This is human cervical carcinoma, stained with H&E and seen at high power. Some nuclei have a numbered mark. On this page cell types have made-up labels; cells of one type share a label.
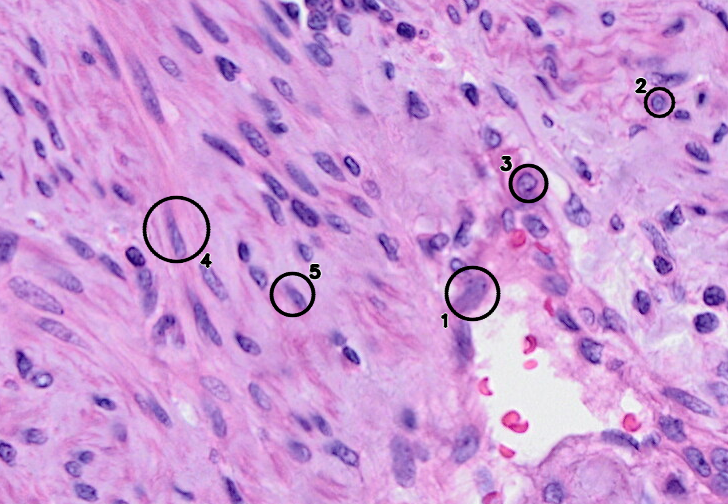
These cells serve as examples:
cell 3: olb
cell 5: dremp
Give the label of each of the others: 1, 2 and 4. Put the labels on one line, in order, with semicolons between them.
olb; dremp; dremp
